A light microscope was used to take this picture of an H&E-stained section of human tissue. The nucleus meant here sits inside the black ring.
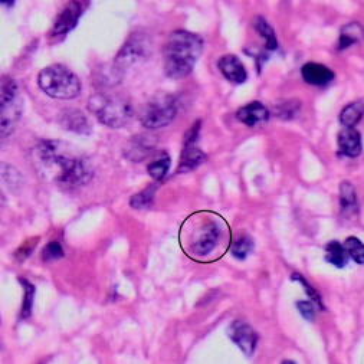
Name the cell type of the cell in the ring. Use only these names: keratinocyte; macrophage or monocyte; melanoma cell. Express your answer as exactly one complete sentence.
In this section, the cell in the ring is a macrophage or monocyte.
